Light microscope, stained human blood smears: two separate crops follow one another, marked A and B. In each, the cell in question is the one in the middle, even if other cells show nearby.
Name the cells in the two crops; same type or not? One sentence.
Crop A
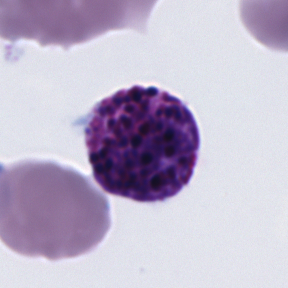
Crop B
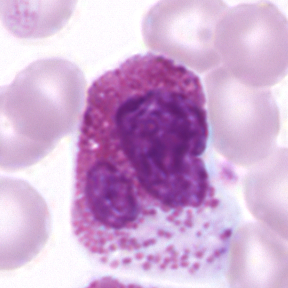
No, crop A presents a basophil, whereas crop B presents an eosinophil.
